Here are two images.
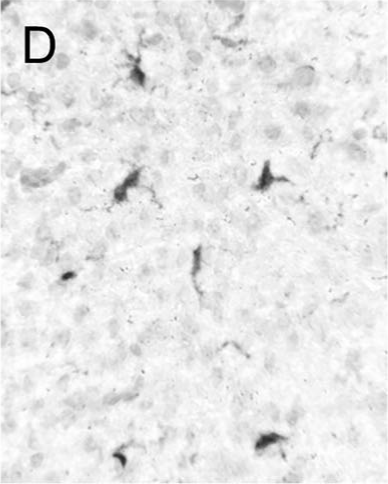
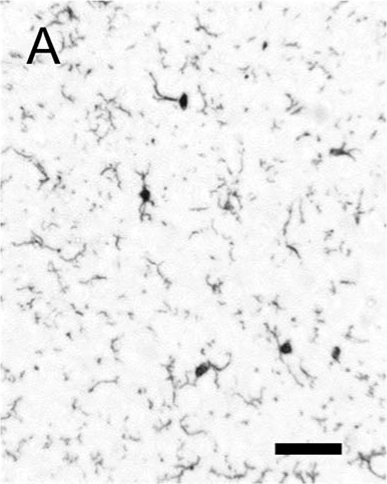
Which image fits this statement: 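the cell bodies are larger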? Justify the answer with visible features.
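The first image. First image: stained cells have plump, dark cell bodies with few short processes. Second image: stained cells have small cell bodies with many fine branching processes.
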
